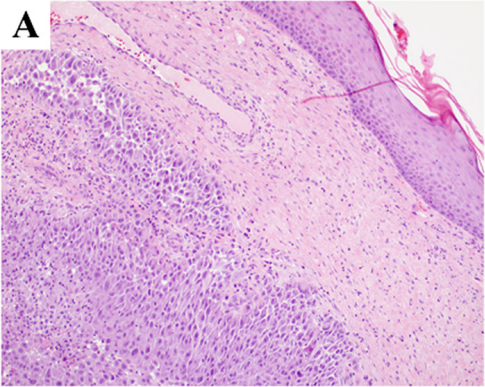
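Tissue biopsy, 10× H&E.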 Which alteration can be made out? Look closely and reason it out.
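Crowded purple cell masses fill the lower left of the section. A pink fibrous band separates the cell masses from the surface epithelium at upper right.
Hence: sheets and nests of tumor cells.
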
